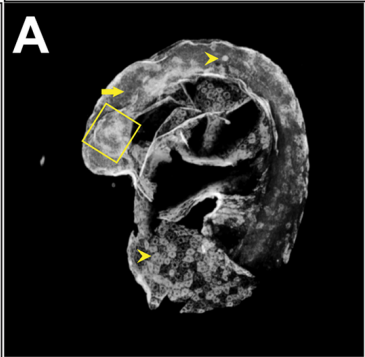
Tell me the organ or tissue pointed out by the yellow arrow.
Central nervous system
